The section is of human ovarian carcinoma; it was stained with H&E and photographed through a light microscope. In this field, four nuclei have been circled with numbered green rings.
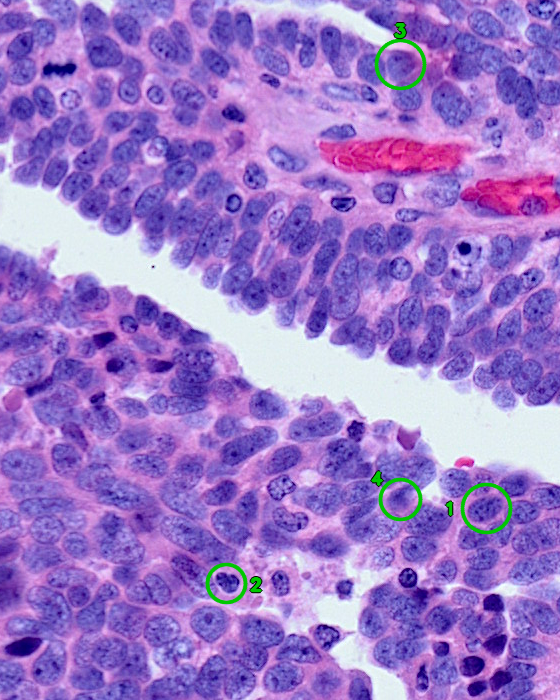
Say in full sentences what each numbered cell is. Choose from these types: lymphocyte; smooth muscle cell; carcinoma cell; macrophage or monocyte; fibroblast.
Cell 1 is a carcinoma cell, cell 2 is a lymphocyte, cell 3 is a carcinoma cell and cell 4 is a carcinoma cell.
